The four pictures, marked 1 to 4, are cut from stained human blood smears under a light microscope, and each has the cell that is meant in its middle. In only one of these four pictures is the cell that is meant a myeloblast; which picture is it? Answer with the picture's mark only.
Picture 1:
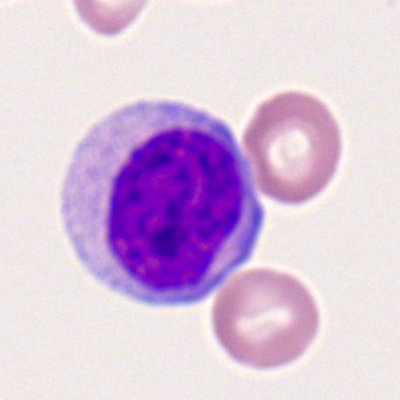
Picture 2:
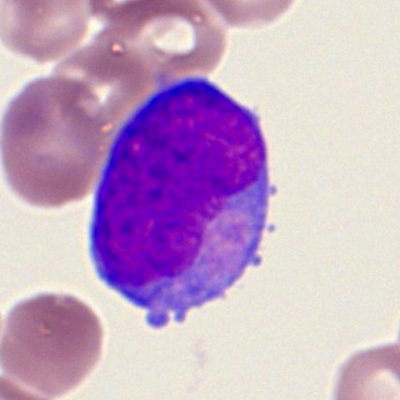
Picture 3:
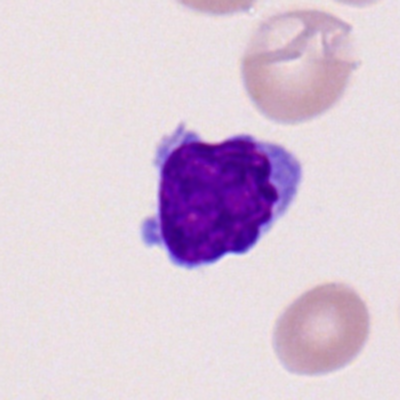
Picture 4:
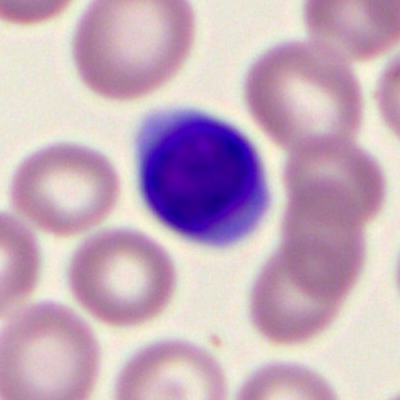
2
